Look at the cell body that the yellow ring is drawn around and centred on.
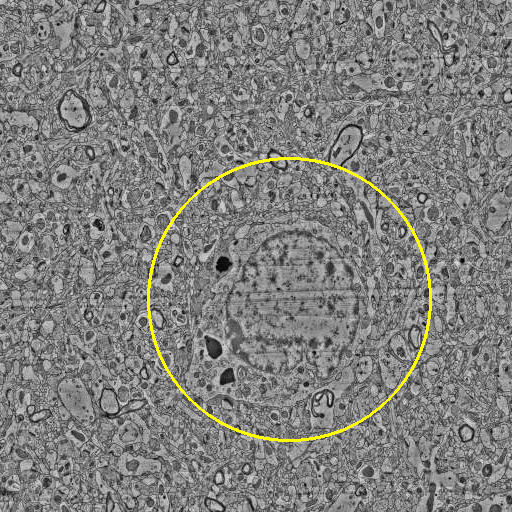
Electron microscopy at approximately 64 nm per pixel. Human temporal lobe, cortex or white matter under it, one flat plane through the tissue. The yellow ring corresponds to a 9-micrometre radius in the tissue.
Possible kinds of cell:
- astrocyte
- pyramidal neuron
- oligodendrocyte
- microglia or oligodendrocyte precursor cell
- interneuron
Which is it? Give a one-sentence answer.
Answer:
The centred cell body is that of an interneuron.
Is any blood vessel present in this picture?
No, there is no blood vessel.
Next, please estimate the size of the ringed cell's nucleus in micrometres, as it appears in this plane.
In this plane, the nucleus measures approximately 9 micrometres across.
